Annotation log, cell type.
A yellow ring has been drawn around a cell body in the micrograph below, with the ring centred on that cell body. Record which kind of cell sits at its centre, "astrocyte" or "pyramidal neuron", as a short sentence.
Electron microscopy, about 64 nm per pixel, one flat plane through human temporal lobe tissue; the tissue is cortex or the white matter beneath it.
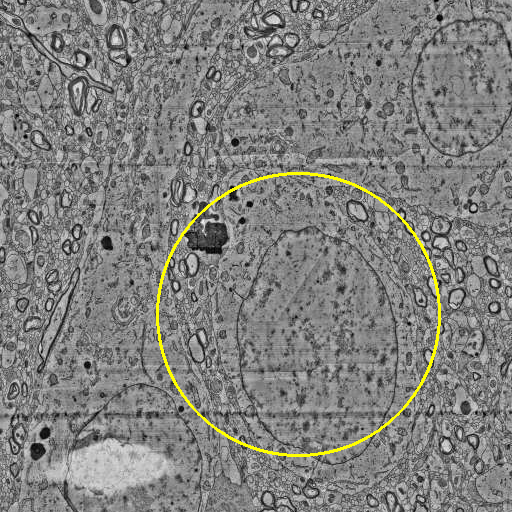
The cell at the centre of this ring is a pyramidal neuron.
